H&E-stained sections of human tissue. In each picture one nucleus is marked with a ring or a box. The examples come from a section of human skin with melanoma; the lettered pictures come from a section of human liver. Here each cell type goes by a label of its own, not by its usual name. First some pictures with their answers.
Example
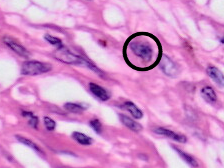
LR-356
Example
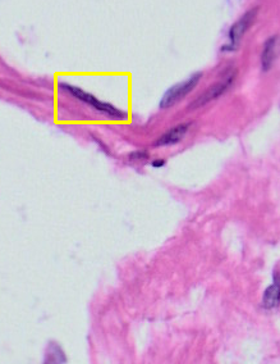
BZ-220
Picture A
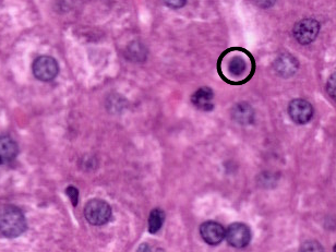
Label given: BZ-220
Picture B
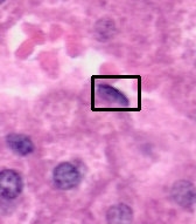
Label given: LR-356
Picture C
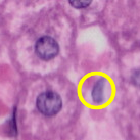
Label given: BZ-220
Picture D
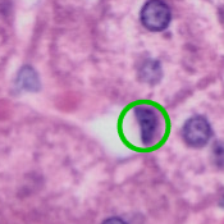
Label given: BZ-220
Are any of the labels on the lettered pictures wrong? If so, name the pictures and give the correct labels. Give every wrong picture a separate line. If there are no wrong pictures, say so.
A: LR-356, not BZ-220
B: BZ-220, not LR-356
